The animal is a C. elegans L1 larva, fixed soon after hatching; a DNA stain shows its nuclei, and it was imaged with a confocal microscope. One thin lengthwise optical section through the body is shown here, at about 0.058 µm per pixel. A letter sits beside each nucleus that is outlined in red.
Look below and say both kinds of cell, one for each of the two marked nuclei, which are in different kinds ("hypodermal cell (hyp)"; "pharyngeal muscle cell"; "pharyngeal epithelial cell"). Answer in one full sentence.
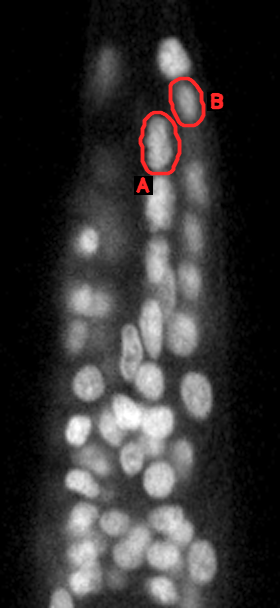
A is from a pharyngeal epithelial cell, and B is from a hypodermal cell (hyp).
